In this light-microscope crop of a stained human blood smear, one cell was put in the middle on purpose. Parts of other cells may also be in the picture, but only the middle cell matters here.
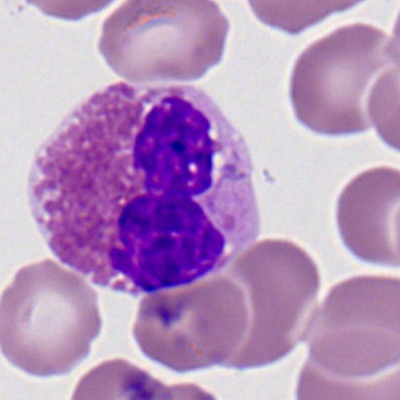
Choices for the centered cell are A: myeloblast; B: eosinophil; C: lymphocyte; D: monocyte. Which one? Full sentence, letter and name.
Since the cell in the centre is an eosinophil, the correct option is B.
